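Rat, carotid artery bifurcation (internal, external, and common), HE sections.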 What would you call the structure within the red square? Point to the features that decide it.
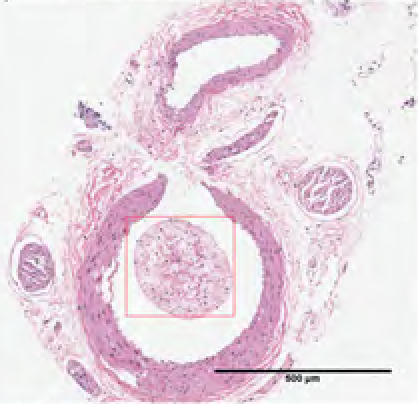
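A rounded mass of pink, mottled material fills part of the lumen of the large artery.
Conclusion: arterial thrombus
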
